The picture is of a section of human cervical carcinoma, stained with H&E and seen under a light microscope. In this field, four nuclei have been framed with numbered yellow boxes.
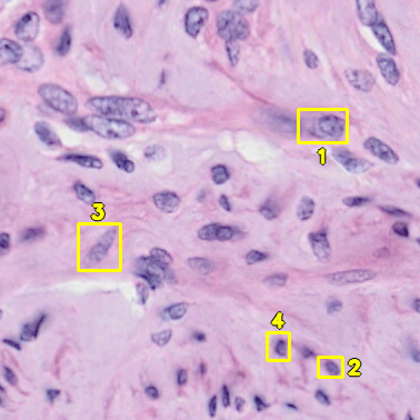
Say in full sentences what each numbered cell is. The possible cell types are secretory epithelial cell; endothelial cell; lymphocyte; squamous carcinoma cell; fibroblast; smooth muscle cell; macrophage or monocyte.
Cell 1 is an endothelial cell. Cells 2, 3 and 4 are smooth muscle cells.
